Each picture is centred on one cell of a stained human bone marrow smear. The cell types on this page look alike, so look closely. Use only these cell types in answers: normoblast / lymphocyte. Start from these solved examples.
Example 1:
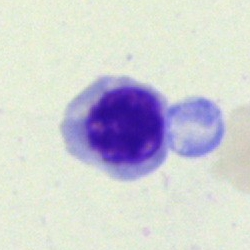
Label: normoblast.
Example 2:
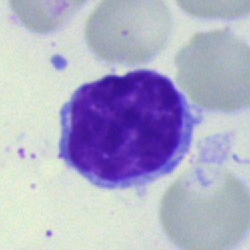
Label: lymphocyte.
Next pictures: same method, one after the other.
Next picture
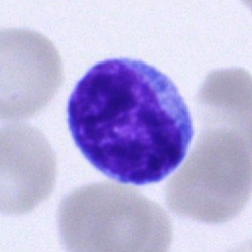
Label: lymphocyte.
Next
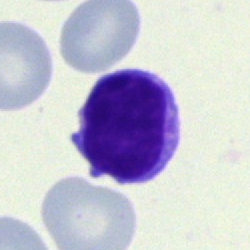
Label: lymphocyte.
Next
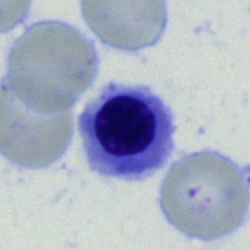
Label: normoblast.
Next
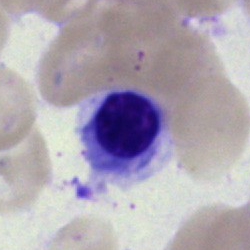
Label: normoblast.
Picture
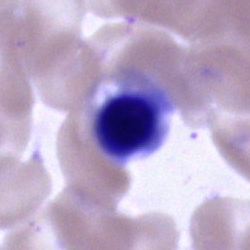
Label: normoblast.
